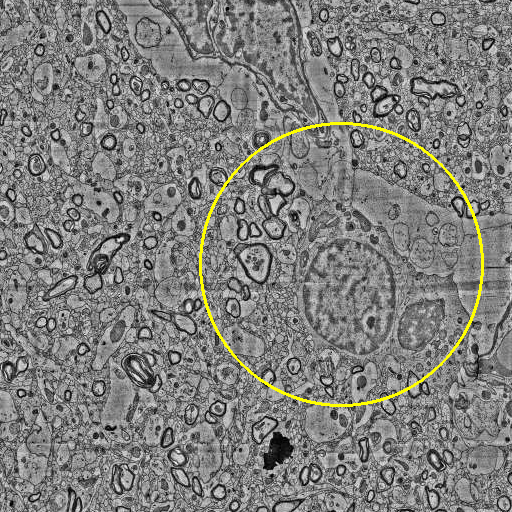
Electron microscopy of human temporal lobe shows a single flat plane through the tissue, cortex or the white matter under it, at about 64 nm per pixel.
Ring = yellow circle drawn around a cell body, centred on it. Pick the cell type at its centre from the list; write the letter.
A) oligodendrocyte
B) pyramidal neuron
A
